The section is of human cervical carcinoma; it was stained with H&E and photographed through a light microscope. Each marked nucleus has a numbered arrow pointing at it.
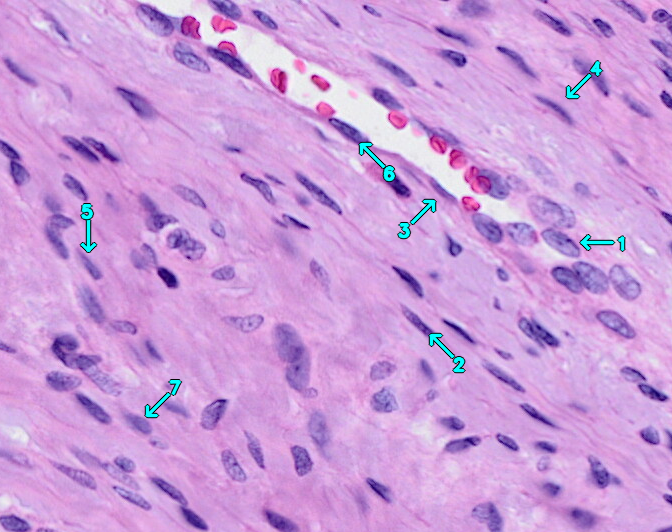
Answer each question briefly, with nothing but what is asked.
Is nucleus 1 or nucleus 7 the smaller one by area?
7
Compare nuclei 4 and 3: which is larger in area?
4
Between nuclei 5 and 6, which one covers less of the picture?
5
